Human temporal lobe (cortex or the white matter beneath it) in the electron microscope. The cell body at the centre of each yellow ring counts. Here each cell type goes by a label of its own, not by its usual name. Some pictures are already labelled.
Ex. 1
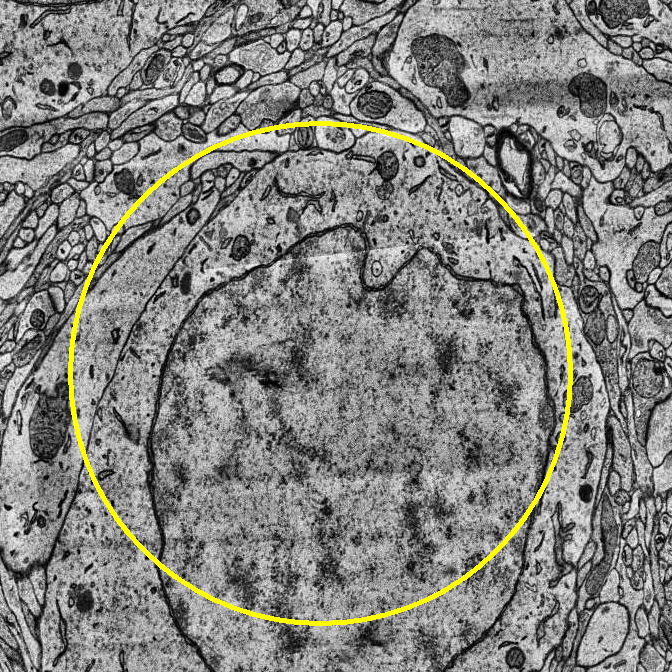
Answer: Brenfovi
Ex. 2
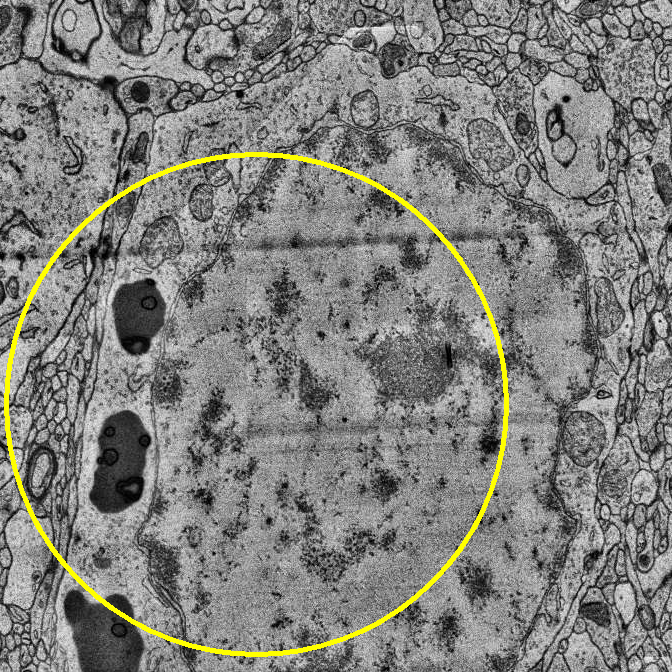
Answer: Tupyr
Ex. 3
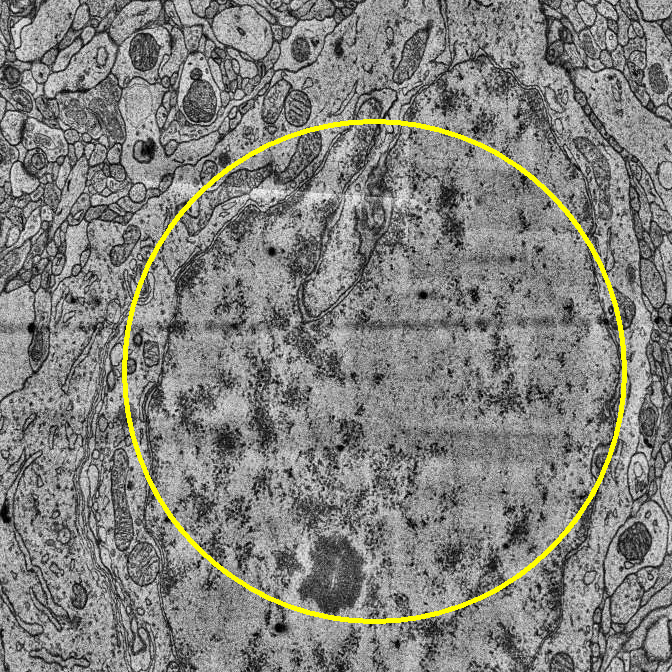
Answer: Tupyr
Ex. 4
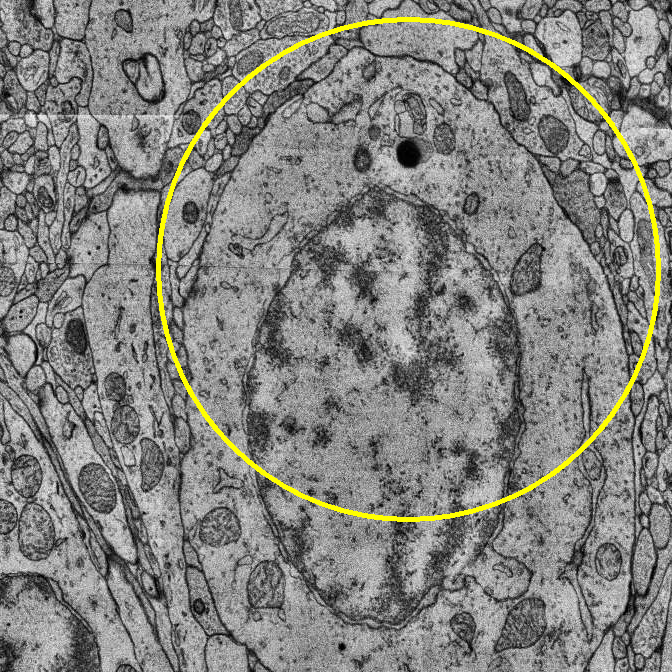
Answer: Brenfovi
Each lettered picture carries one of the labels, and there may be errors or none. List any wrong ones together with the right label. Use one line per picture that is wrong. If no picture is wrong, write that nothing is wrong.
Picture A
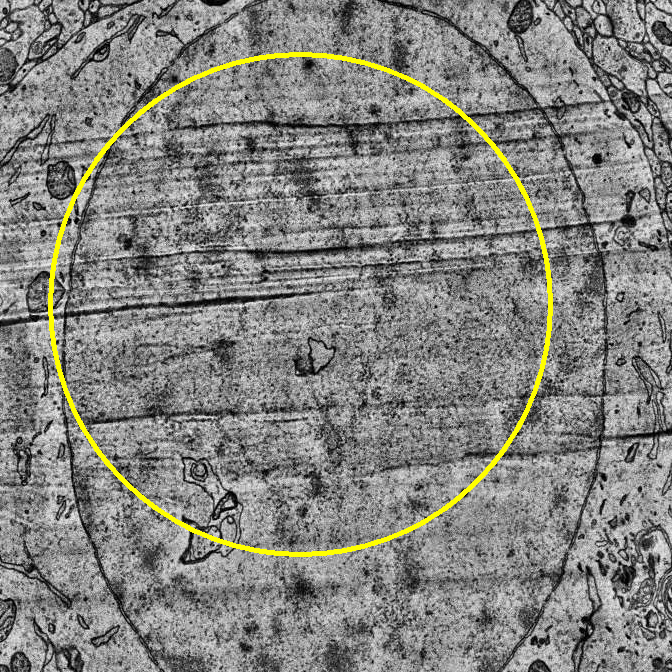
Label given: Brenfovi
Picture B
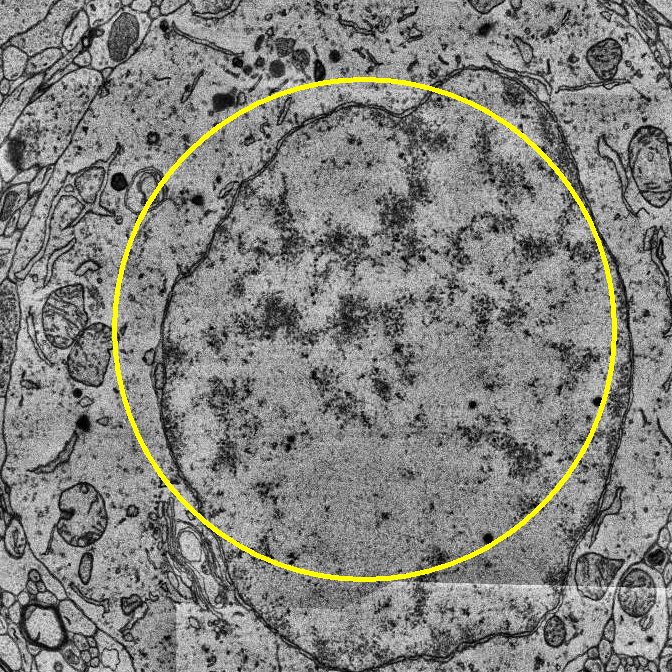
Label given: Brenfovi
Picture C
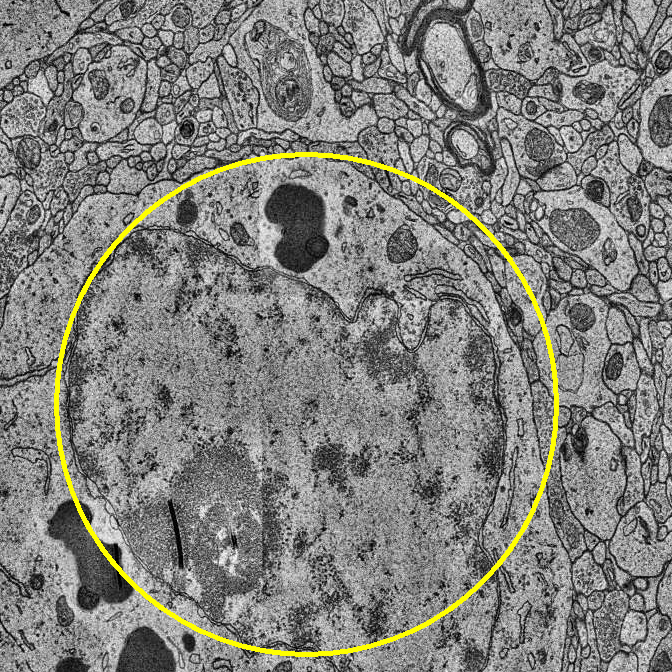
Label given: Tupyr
No label is wrong.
